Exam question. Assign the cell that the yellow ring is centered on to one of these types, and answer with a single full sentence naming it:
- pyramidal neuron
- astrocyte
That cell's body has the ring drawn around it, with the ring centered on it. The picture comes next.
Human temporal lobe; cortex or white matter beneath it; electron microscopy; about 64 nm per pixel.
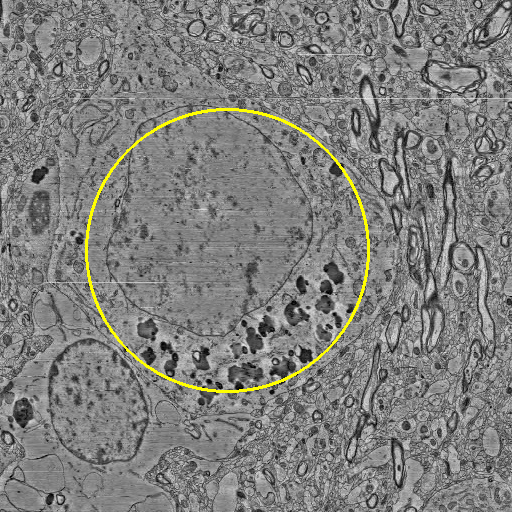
In the micrograph, the cell the yellow ring is centered on is a pyramidal neuron.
